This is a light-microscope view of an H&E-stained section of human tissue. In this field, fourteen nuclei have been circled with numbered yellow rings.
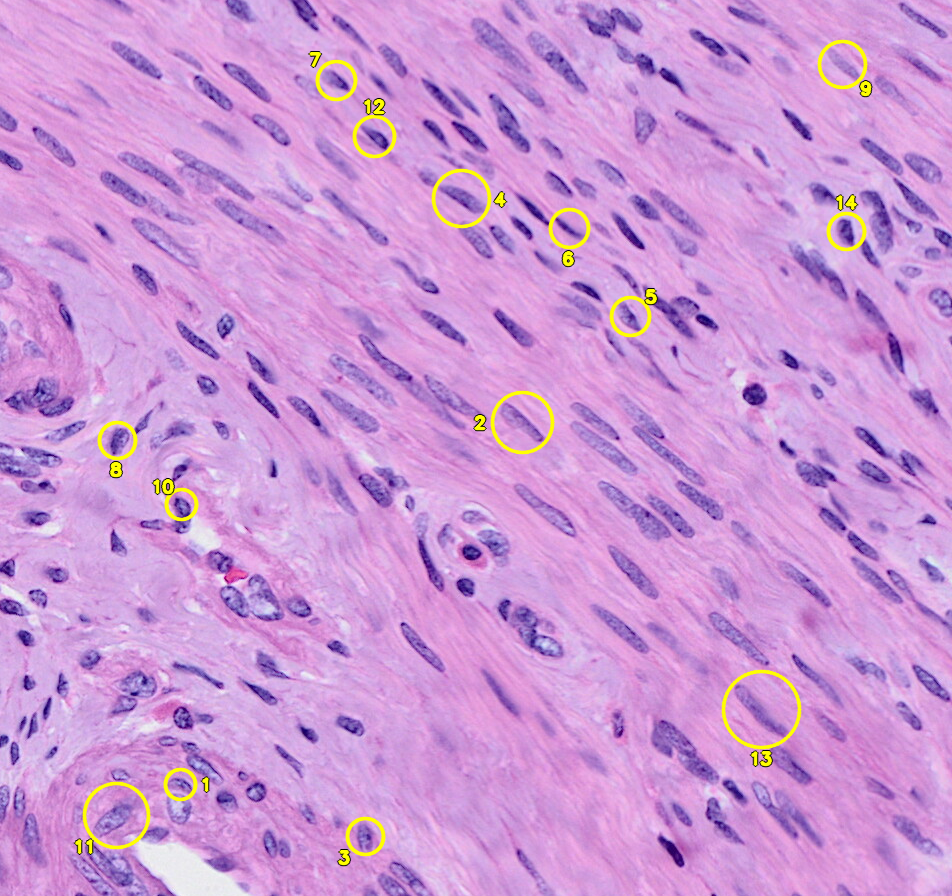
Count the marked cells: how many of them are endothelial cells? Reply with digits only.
1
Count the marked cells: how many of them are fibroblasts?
8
